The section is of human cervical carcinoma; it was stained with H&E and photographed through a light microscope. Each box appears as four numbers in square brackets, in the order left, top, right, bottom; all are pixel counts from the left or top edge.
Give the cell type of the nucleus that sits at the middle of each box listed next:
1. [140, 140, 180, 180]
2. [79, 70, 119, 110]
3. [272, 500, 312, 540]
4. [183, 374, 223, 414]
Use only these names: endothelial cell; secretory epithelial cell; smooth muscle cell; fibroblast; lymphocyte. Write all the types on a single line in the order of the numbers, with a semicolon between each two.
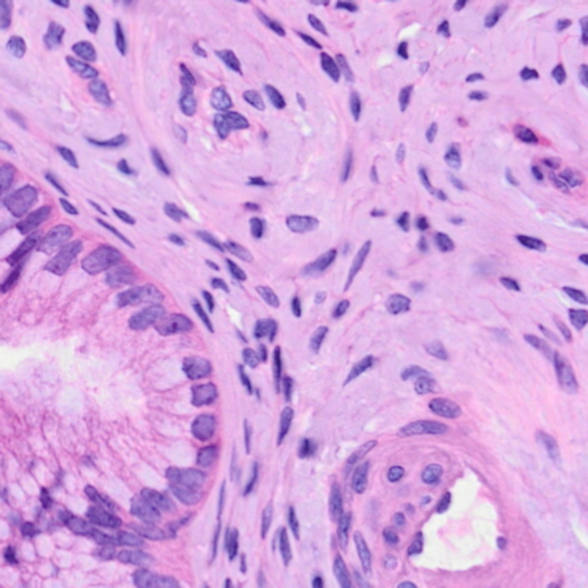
fibroblast; endothelial cell; fibroblast; secretory epithelial cell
